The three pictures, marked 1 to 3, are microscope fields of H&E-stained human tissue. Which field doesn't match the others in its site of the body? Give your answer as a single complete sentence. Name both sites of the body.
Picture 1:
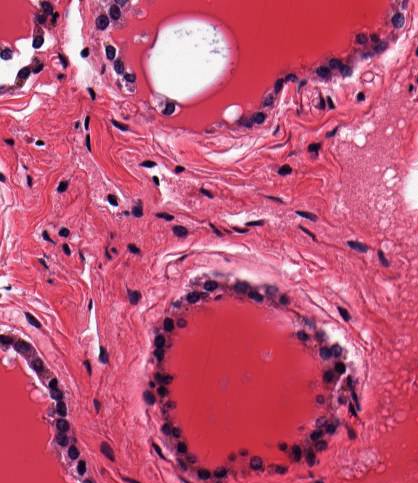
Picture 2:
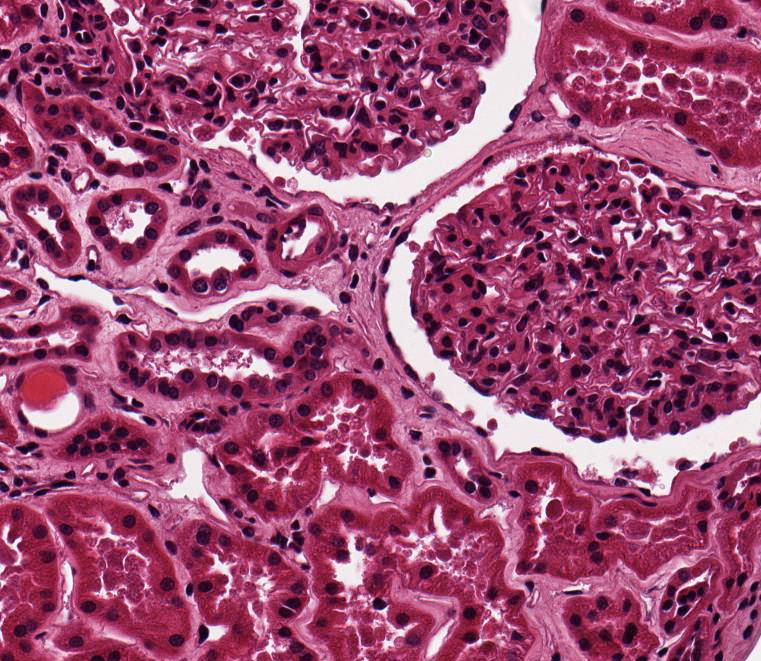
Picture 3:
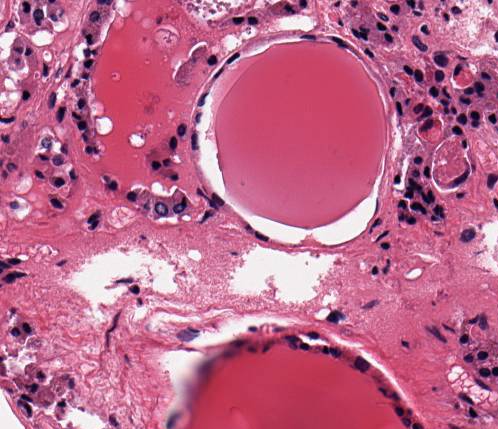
Unlike the rest, which come from the thyroid, picture 2 comes from the renal cortex.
